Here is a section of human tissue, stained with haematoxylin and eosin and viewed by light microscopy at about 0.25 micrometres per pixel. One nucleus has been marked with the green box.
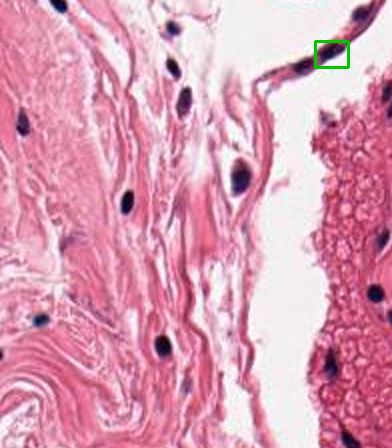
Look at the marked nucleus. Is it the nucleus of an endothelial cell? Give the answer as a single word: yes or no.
yes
